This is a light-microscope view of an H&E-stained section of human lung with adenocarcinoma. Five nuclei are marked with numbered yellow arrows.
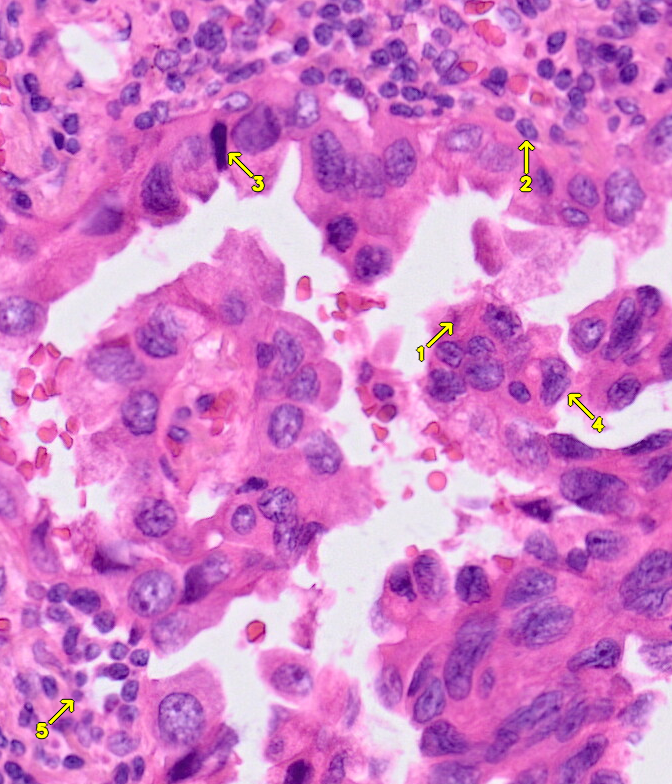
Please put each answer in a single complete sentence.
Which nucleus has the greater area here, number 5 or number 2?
Nucleus 2 covers more area, about 2.5 times as much as nucleus 5.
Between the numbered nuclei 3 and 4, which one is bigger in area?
Nucleus 4 is the larger one, covering about 2 times the area of nucleus 3.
